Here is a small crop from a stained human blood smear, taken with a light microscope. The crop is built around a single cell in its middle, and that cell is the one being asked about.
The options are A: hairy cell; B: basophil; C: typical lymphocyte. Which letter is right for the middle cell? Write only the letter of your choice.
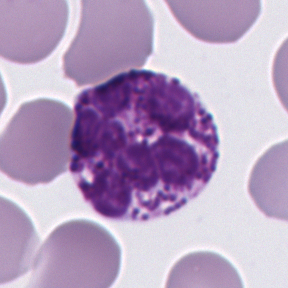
B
